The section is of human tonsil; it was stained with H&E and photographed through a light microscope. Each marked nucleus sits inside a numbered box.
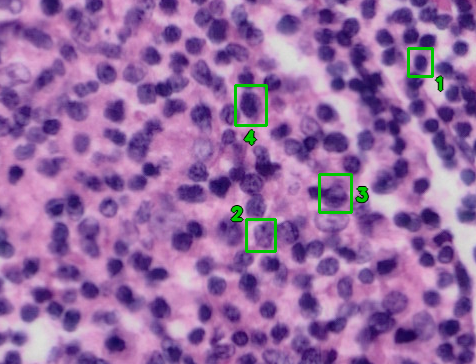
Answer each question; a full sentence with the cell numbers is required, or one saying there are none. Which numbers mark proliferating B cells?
The cells that bear the numbers 2, 3 and 4 are proliferating B cells.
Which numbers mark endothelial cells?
There are no endothelial cells in the group of numbered cells.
